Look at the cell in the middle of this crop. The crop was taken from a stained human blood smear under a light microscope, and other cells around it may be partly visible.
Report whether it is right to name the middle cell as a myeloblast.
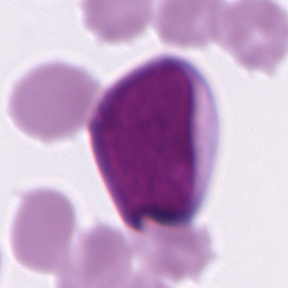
yes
